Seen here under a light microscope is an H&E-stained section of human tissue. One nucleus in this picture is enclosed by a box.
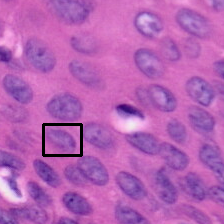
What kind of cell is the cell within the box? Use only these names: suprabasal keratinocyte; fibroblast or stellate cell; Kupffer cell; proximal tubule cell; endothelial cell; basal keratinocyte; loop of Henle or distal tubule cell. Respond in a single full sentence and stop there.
Within this tissue, the cell within the box is a suprabasal keratinocyte.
